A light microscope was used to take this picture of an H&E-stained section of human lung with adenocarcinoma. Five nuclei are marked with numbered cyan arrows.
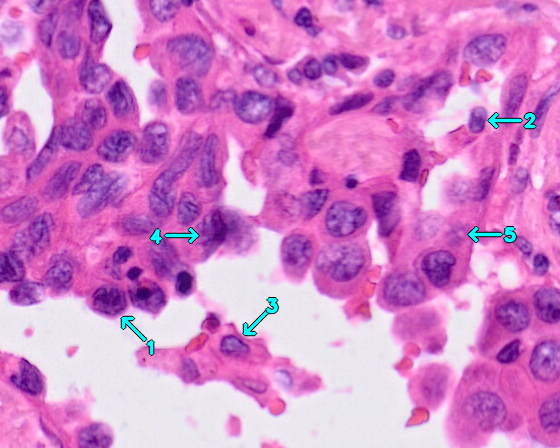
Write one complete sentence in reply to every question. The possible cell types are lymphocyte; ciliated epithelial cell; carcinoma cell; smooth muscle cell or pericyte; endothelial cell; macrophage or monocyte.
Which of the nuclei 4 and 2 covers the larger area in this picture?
Of the two, number 4 is bigger and takes up about 2 times the area of number 2.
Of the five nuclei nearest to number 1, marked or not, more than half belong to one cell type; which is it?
The majority of the five nuclei closest to number 1 belong to carcinoma cells.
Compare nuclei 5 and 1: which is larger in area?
The larger nucleus is 1, at roughly 3 times the area of 5.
